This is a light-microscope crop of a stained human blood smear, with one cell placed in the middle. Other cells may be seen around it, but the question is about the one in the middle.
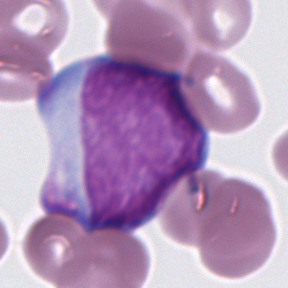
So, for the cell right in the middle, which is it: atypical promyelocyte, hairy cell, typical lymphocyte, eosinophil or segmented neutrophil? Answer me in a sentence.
Classification of the middle cell gives an atypical promyelocyte.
